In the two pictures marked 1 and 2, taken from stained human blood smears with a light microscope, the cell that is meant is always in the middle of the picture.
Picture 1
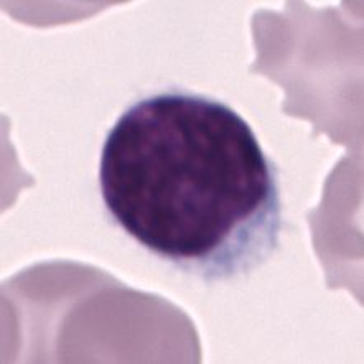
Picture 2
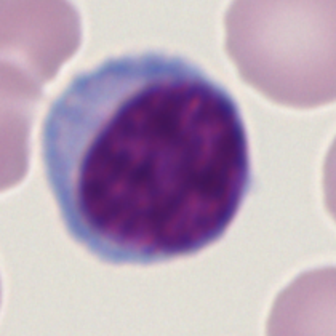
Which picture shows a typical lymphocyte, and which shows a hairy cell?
1: hairy cell
2: typical lymphocyte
